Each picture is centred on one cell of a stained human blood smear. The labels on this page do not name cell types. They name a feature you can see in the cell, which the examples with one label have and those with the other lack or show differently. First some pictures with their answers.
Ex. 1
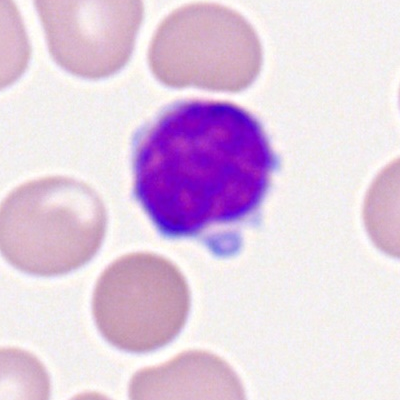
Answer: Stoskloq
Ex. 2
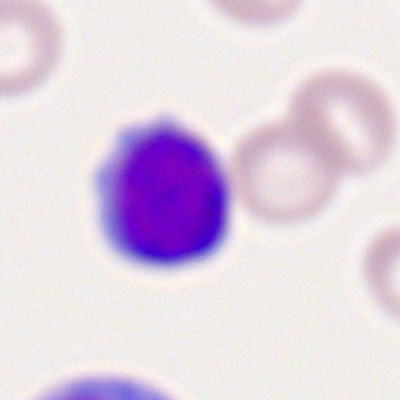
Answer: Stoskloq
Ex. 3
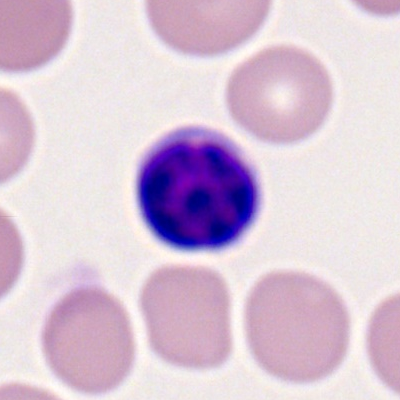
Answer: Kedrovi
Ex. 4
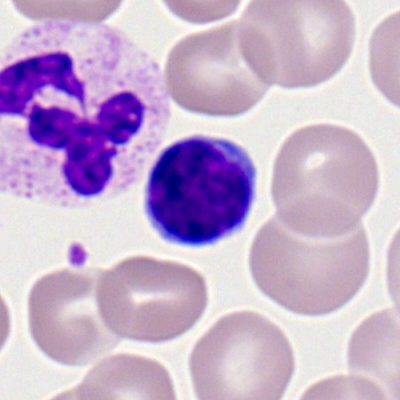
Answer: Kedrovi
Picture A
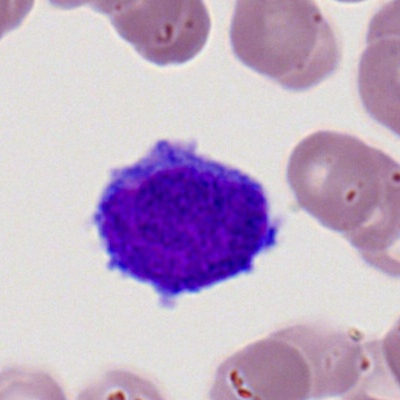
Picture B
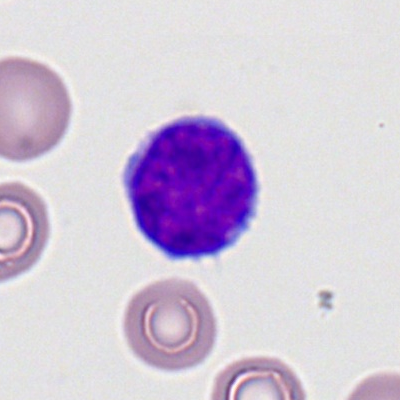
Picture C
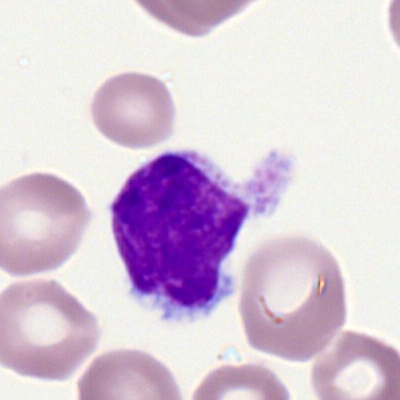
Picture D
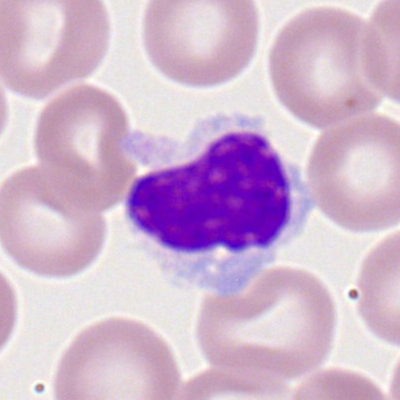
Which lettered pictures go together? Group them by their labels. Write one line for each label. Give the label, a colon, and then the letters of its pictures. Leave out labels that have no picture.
Stoskloq: A, B, C, D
